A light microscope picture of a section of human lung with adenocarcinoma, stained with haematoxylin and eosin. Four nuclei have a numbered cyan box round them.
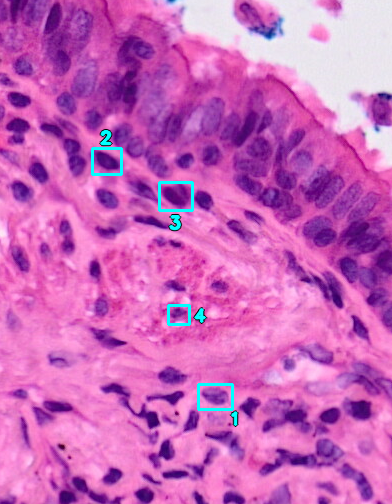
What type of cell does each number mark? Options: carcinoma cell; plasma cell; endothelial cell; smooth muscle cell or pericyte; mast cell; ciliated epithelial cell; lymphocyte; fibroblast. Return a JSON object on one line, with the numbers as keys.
{"1": "lymphocyte", "2": "plasma cell", "3": "plasma cell", "4": "smooth muscle cell or pericyte"}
